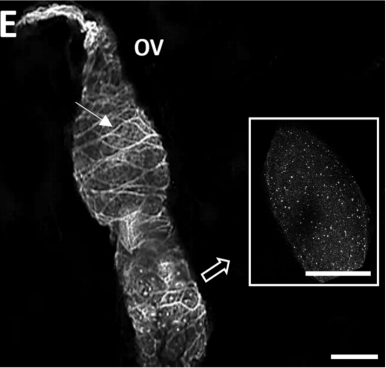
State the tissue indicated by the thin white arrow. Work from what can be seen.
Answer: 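Muscle fibers. Bright thin bands wrap around the surface of the elongate organ. The bands cross one another in a meshwork.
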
